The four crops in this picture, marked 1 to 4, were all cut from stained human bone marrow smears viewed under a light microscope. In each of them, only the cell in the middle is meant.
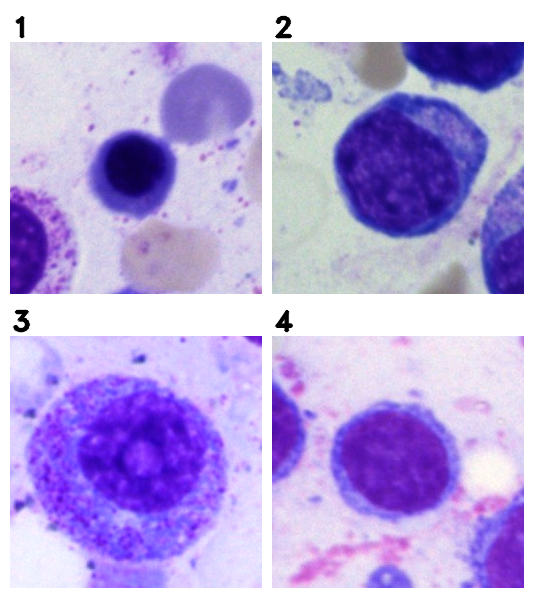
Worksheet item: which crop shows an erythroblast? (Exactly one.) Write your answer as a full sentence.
Crop 1 is the crop that displays an erythroblast.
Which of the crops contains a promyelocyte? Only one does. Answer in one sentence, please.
The requested cell, a promyelocyte, is the one in crop 3.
